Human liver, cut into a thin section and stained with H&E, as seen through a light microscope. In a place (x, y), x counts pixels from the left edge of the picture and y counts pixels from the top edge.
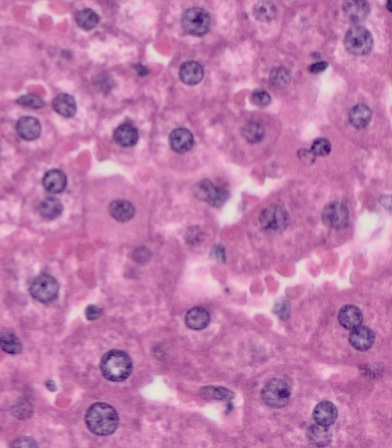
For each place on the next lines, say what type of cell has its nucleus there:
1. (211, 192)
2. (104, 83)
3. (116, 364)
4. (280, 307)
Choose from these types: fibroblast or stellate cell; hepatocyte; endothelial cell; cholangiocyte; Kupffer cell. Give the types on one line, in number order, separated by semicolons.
Kupffer cell; hepatocyte; hepatocyte; Kupffer cell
